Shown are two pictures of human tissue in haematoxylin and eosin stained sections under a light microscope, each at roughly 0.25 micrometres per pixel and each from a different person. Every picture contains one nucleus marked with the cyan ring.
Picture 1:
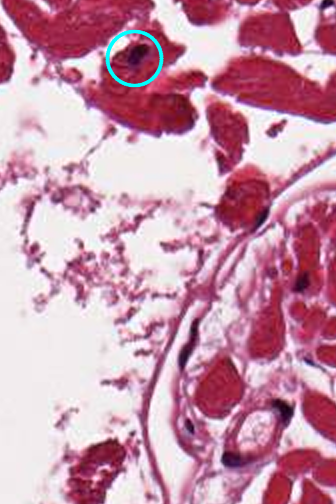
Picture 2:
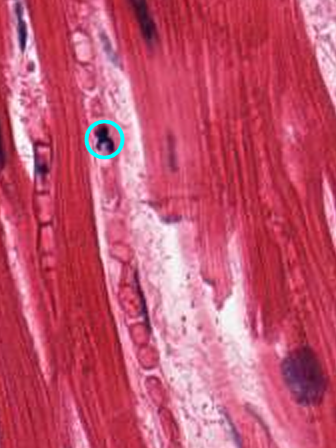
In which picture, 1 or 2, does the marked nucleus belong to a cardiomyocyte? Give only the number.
1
